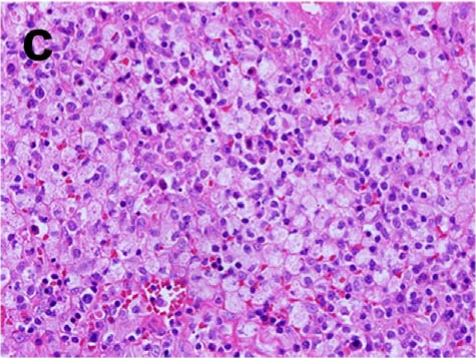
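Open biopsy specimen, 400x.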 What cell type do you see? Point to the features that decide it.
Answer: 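Sheets of large cells with abundant pale, finely vacuolated cytoplasm. Each has a small round, often eccentric nucleus. The answer: Foamy histiocytes.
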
